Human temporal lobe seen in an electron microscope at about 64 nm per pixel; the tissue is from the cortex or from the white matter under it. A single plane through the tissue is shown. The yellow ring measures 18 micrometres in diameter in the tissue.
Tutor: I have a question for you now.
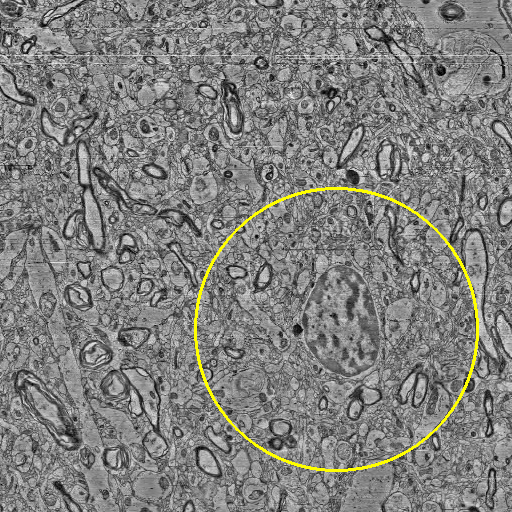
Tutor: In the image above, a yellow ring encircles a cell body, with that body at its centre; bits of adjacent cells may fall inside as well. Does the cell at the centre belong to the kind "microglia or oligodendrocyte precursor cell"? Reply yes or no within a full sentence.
Yes, the cell at the centre of the yellow ring in the picture is of that kind.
